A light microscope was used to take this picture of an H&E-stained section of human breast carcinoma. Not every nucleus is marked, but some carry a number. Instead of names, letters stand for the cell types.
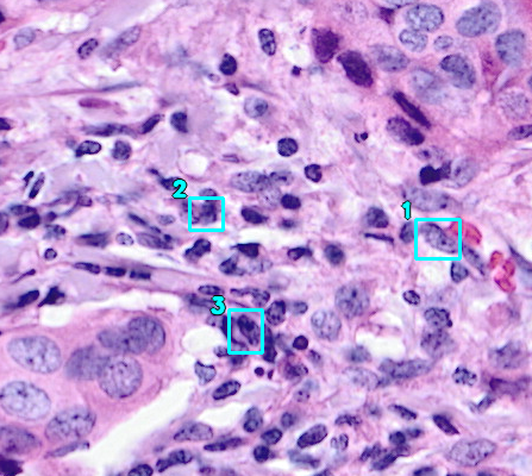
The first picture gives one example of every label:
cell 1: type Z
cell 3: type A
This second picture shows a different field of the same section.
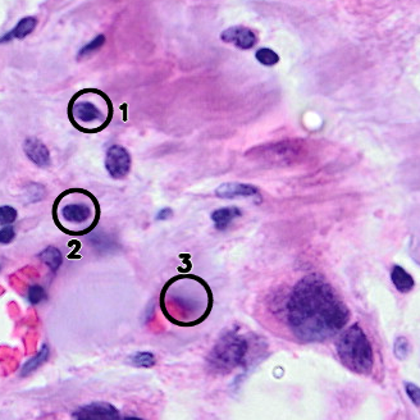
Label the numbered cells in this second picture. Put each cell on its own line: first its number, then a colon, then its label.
1: type A
2: type A
3: type Z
